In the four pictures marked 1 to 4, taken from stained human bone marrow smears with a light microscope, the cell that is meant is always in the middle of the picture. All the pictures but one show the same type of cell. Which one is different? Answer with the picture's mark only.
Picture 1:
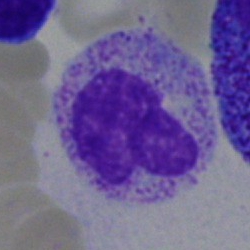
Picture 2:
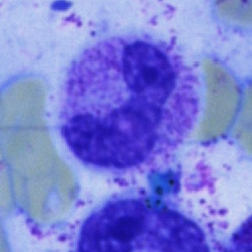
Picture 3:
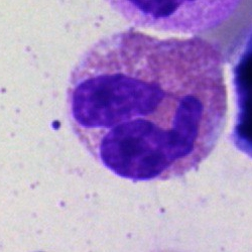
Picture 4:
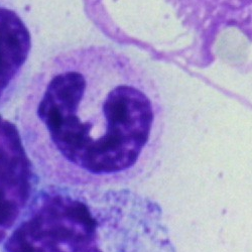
3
